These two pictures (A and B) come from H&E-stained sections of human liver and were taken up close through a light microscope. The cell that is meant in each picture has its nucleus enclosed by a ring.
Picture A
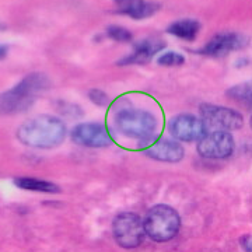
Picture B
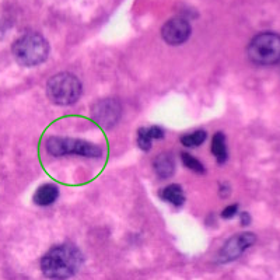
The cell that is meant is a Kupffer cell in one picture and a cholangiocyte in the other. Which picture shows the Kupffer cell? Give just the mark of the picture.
B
